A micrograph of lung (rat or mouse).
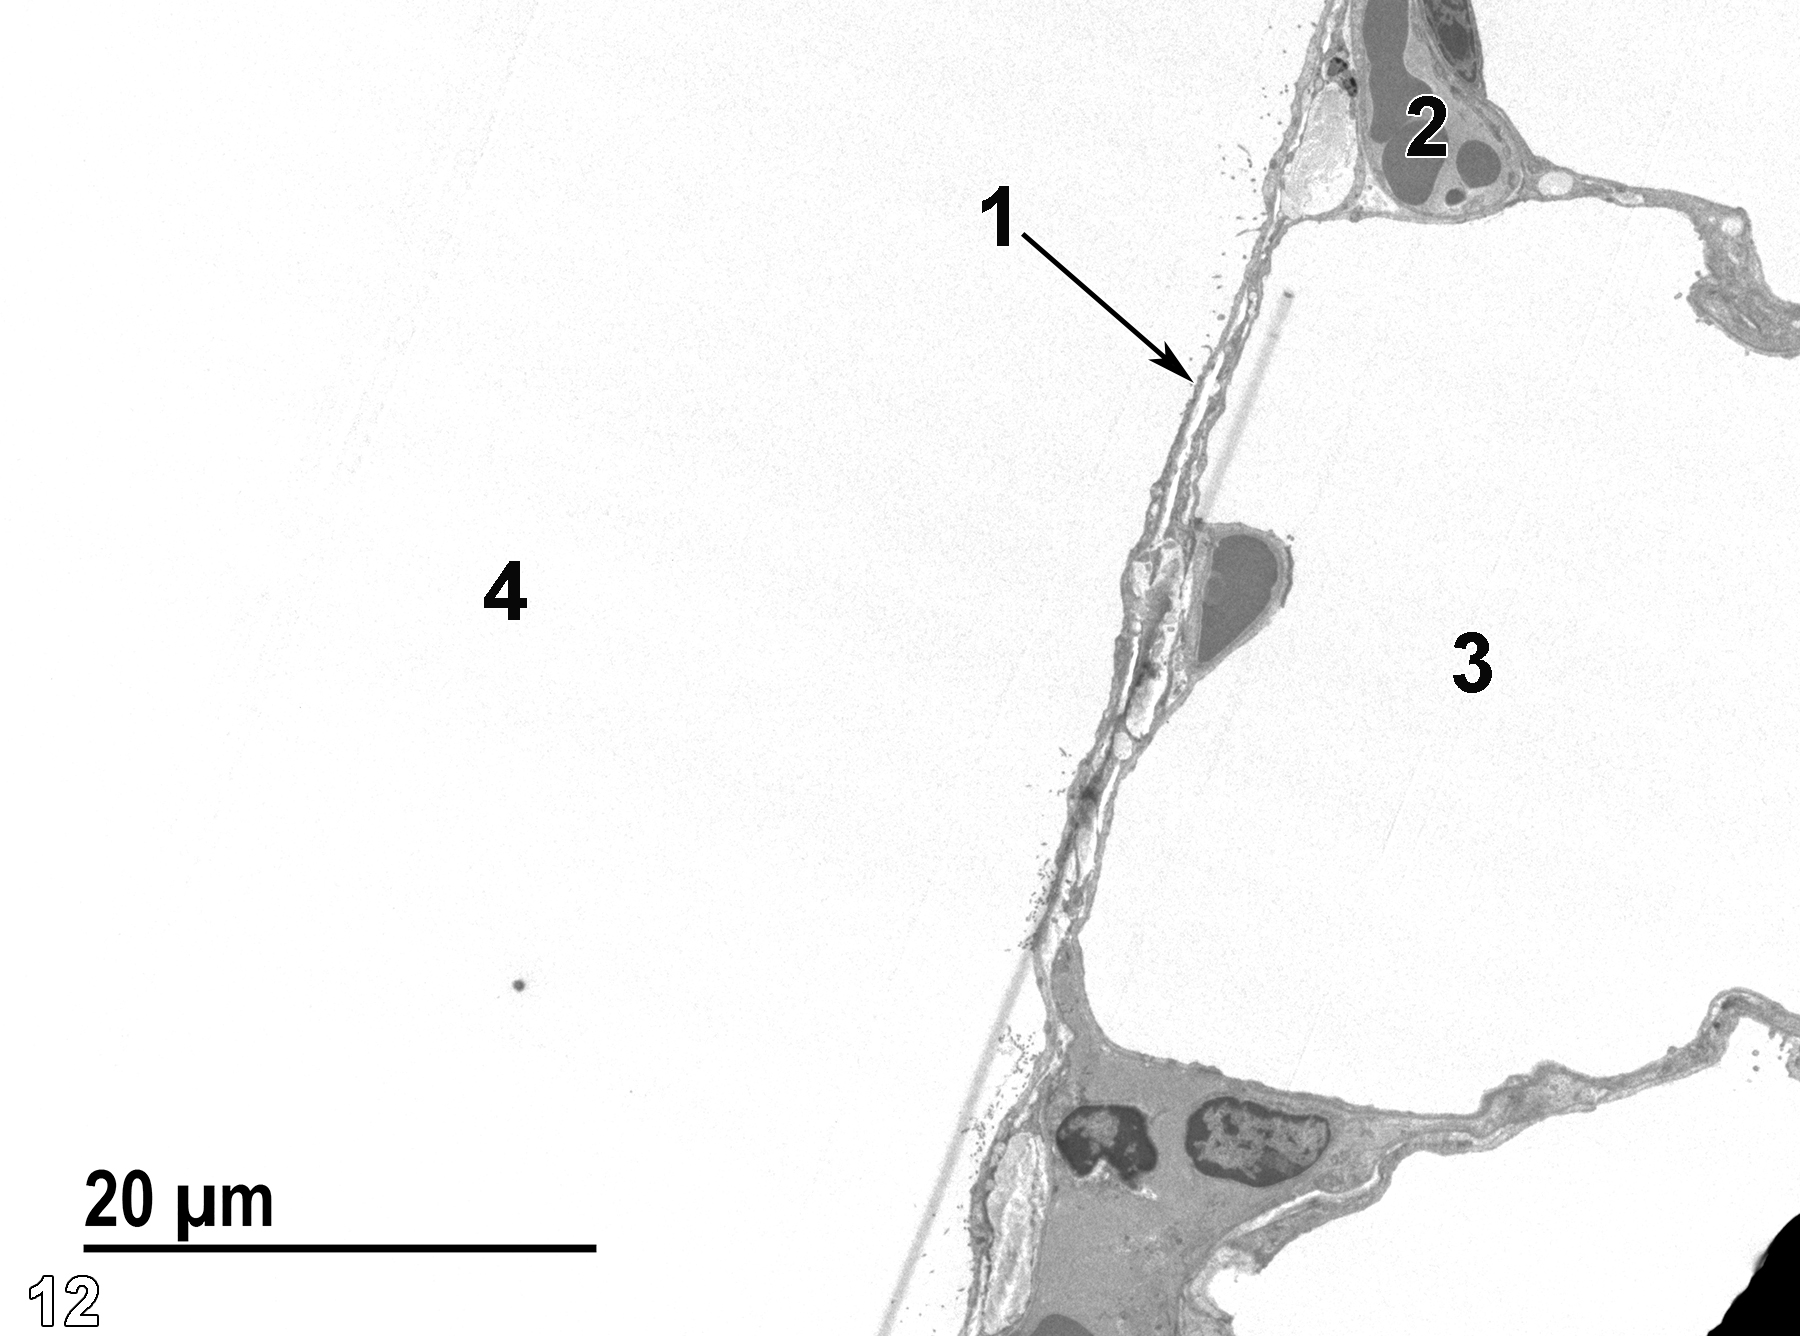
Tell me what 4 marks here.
The number 4 marks the pleural cavity.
